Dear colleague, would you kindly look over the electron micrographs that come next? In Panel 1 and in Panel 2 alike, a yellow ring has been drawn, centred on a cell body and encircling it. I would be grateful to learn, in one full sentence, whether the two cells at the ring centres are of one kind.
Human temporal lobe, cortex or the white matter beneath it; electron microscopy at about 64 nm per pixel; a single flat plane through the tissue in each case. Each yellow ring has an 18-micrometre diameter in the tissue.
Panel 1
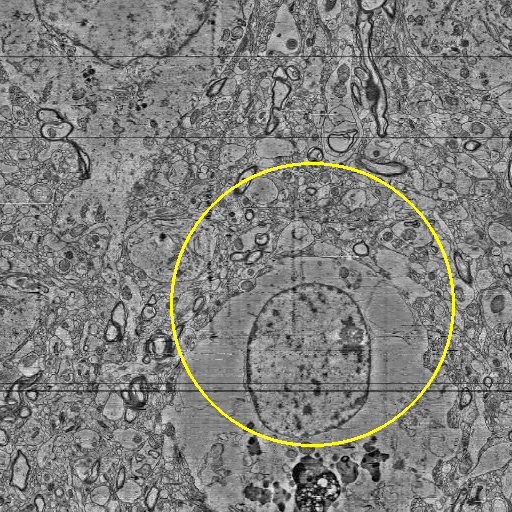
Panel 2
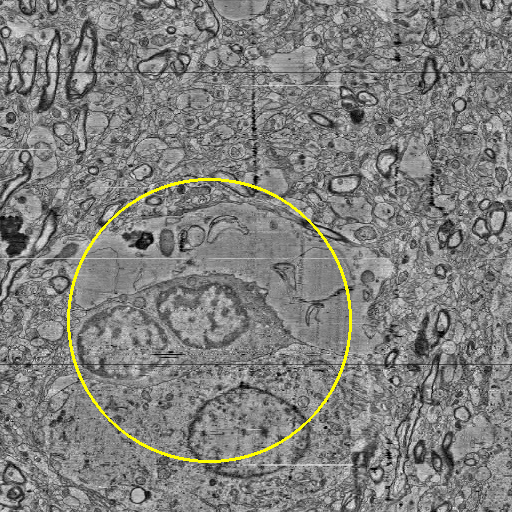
No, the cells in the middle of the rings in the two panels are of two kinds.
